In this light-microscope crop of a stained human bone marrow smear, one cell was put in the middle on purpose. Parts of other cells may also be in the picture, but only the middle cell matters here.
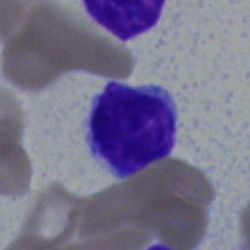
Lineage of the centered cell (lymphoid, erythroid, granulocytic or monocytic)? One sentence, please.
The centered cell is one of the lymphoid lineage.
